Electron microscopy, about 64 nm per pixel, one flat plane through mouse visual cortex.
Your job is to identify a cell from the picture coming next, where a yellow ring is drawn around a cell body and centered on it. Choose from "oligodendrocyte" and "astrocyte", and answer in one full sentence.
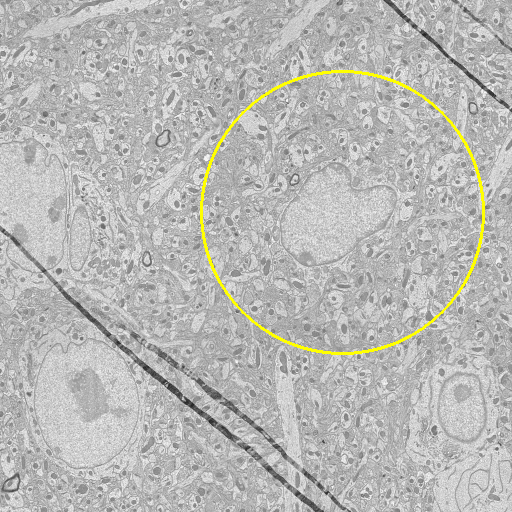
Centered in the yellow ring of the picture is the body of an astrocyte.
